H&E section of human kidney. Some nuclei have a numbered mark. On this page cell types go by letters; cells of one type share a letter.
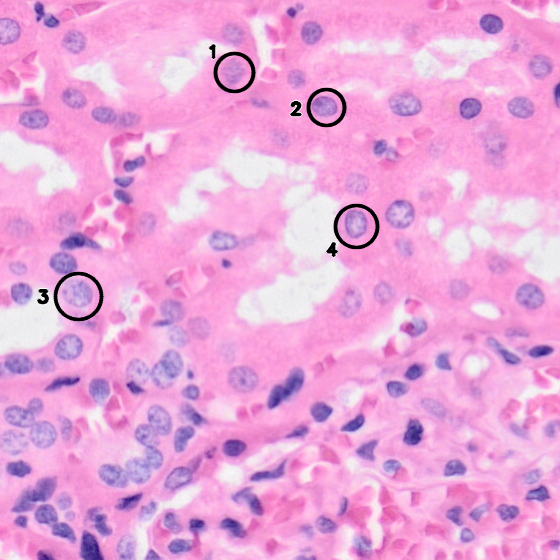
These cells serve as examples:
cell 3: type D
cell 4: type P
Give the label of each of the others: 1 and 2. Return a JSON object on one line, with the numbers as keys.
{"1": "type P", "2": "type P"}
